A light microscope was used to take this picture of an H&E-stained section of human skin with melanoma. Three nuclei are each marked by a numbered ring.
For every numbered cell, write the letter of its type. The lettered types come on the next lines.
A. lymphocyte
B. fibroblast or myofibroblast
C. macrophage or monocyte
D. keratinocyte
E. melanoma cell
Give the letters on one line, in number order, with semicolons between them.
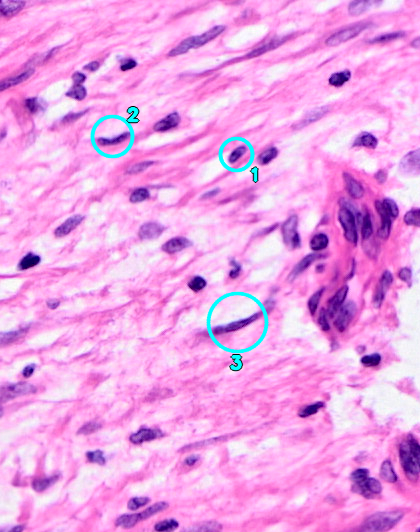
A; B; B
